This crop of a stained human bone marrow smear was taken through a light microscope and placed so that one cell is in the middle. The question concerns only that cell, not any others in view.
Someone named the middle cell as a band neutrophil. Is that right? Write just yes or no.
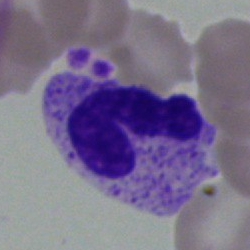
yes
